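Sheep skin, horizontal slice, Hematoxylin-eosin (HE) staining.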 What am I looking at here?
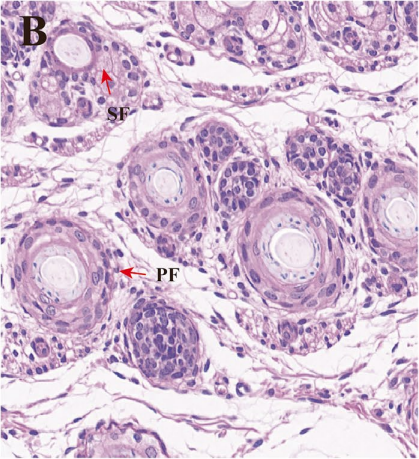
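The larger follicles show a central pale, glassy hair shaft surrounded by concentric rings of pink-staining sheath cells and an outer ring of cells with purple nuclei, each follicle encircled by a thin layer of connective tissue. Smaller follicles lie close by; some are cut through solid clusters of densely packed cells with many dark nuclei and little or no central shaft. Between the follicles lies loose, pale pink connective tissue with scattered elongated, dark fibroblast nuclei.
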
